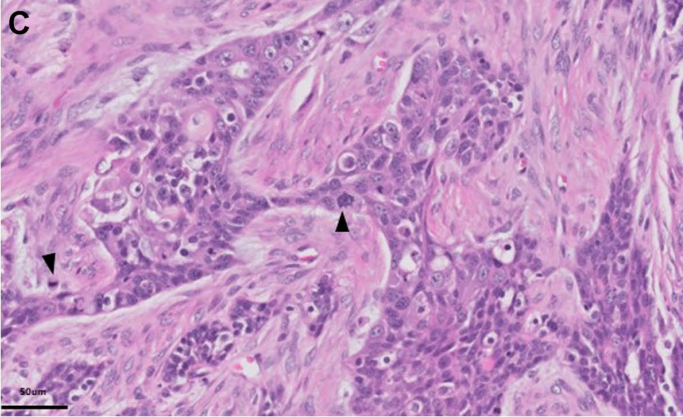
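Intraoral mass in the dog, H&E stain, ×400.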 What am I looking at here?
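Sheets and cords of epithelial tumor cells separated by pale pink fibrous stroma. The cells have enlarged, variably sized nuclei with visible nucleoli, some cells with pale clear cytoplasm and scattered cells with condensed dark mitotic chromatin.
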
